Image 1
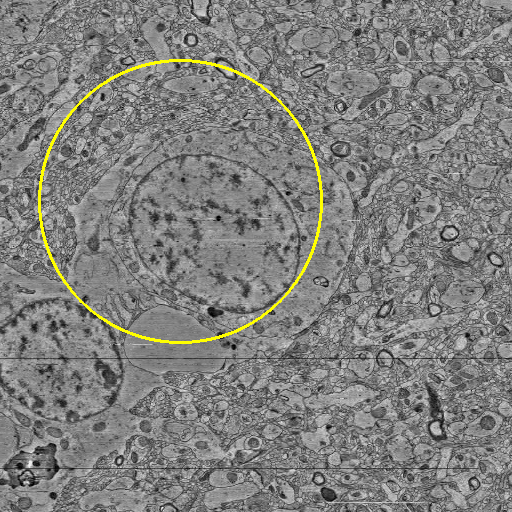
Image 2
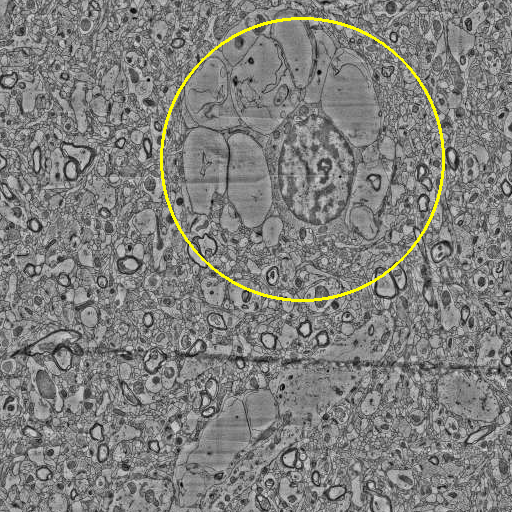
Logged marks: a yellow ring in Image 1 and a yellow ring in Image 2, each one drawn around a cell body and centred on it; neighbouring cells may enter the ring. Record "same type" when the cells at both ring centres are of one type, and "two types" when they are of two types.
two types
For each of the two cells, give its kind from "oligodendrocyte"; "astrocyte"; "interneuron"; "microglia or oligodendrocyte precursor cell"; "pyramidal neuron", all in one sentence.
The first picture has a pyramidal neuron in its ring, the second has an oligodendrocyte.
